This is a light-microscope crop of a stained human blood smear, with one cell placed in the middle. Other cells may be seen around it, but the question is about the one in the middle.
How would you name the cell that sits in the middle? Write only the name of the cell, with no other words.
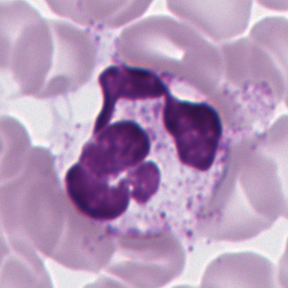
neutrophil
